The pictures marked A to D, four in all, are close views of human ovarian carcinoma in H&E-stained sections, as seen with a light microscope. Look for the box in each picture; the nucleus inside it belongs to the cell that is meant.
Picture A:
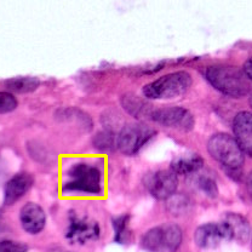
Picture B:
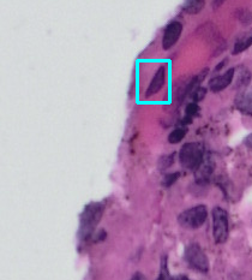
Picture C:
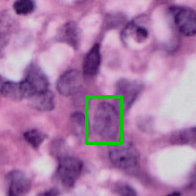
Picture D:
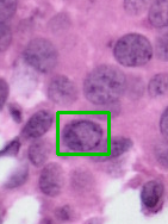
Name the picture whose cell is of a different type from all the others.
B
